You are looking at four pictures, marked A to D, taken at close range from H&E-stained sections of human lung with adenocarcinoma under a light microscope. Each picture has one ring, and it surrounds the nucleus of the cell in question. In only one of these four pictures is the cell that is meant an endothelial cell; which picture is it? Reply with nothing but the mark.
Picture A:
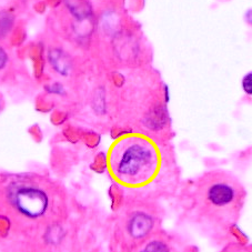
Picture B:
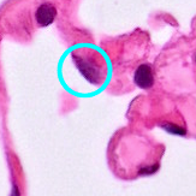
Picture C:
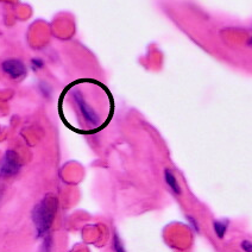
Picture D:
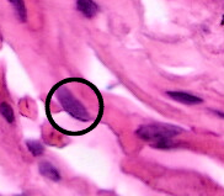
C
